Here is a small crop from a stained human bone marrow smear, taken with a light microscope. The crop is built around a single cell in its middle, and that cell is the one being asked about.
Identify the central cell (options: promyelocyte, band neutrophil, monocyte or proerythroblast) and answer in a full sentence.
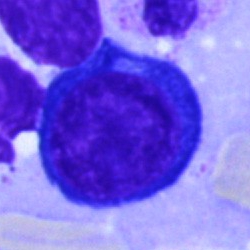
At the center of the crop sits a proerythroblast.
